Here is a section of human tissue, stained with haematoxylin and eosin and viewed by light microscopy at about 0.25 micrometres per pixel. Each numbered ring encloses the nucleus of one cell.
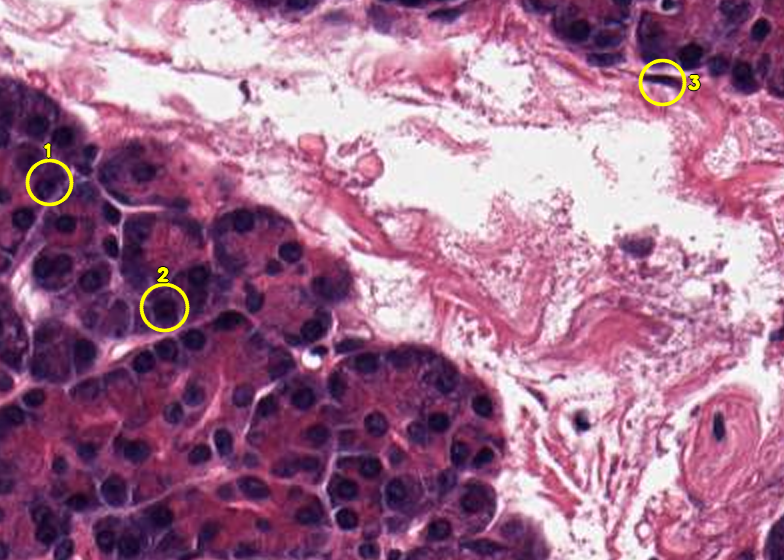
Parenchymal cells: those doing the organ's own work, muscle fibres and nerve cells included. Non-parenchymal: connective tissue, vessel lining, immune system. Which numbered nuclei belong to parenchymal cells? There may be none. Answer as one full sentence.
Nuclei 1 and 2 belong to parenchymal cells.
